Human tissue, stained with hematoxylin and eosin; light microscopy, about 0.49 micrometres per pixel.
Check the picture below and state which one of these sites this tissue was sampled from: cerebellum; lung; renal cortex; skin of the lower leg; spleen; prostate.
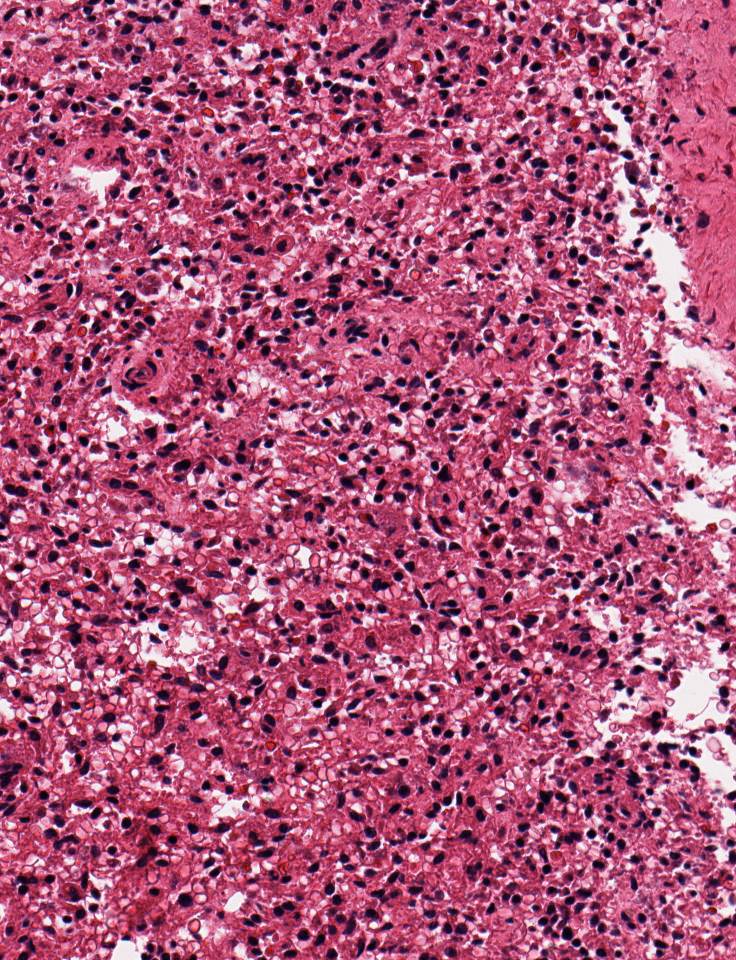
spleen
